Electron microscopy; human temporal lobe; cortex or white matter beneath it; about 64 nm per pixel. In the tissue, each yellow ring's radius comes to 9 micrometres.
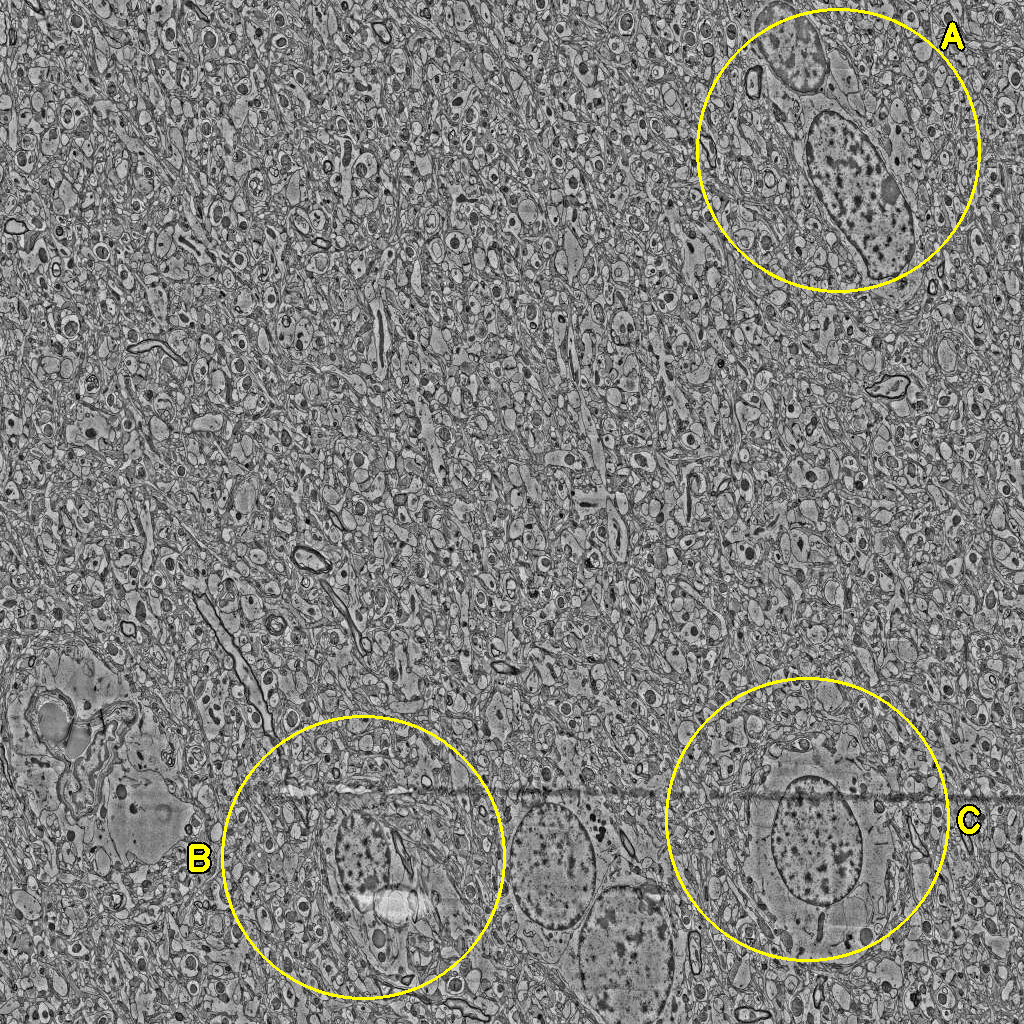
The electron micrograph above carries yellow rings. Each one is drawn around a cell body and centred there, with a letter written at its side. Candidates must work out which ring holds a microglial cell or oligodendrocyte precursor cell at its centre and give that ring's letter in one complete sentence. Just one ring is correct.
Letter A marks the ring whose centre holds that kind of cell.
